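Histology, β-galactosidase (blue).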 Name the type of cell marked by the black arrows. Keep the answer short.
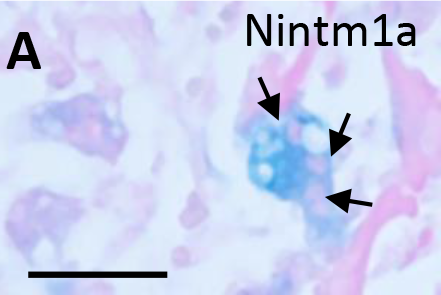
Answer: multinucleated cells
